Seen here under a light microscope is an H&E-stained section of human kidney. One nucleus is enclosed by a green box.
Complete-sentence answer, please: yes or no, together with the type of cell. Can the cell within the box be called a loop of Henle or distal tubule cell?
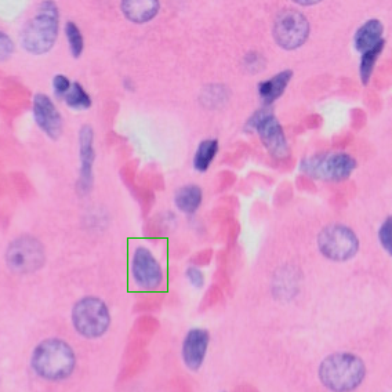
No, the cell within the box is not a loop of Henle or distal tubule cell, but is instead an endothelial cell.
